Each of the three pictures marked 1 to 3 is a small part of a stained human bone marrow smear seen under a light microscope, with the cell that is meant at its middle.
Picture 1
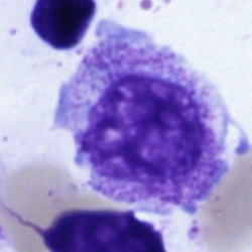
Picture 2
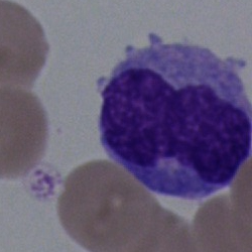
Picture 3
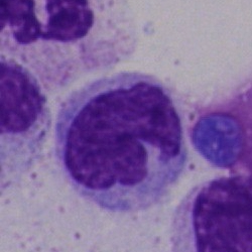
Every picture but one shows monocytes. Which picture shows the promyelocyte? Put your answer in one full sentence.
It is picture 1 that shows the promyelocyte.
